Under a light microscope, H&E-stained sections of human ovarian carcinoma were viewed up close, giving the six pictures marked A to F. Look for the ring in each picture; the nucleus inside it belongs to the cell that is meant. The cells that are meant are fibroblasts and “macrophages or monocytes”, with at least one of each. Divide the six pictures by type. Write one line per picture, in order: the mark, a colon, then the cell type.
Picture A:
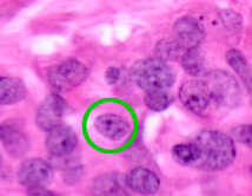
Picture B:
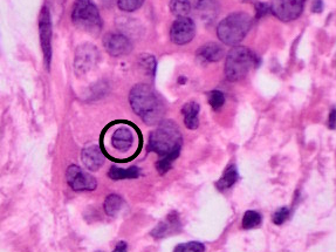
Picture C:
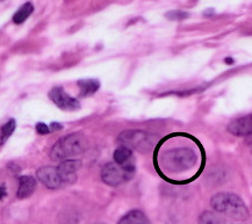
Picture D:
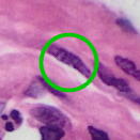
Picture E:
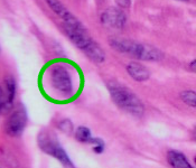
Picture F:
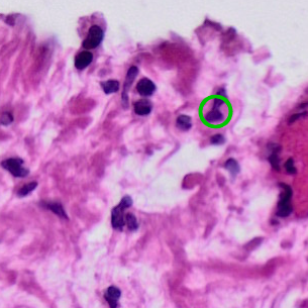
A: macrophage or monocyte
B: macrophage or monocyte
C: macrophage or monocyte
D: fibroblast
E: fibroblast
F: macrophage or monocyte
